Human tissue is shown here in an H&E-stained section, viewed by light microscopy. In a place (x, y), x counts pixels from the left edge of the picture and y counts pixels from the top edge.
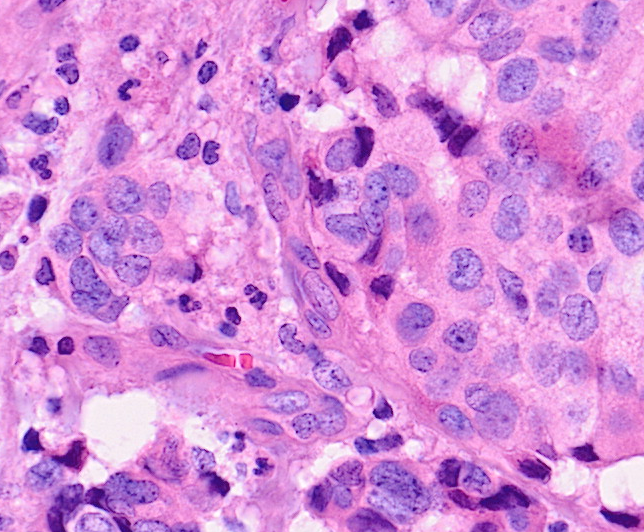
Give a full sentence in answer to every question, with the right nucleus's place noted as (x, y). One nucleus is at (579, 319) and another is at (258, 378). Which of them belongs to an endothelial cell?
Of the pair, the nucleus located at (258, 378) belongs to an endothelial cell.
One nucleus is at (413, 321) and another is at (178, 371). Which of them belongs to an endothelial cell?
It is the nucleus at (178, 371), not the other one, that belongs to an endothelial cell.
